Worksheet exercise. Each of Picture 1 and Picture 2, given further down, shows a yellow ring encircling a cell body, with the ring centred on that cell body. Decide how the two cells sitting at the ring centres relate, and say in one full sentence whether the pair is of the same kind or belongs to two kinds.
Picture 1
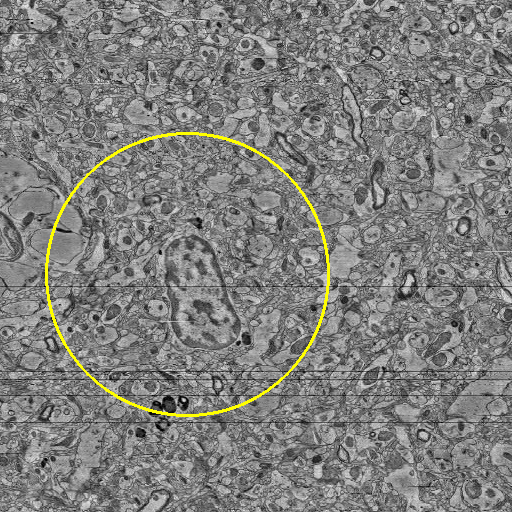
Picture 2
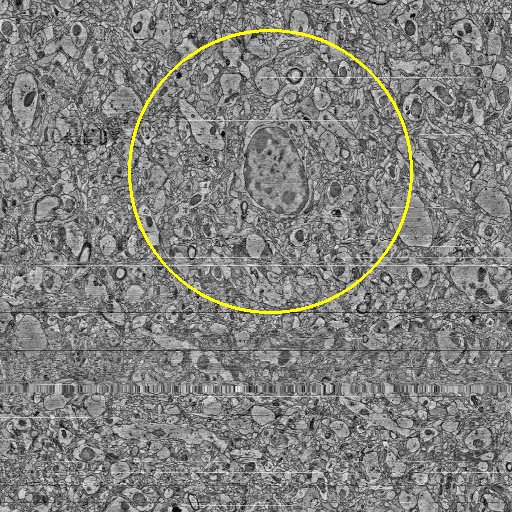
The cells at the ring centres in Picture 1 and Picture 2 are of the same kind.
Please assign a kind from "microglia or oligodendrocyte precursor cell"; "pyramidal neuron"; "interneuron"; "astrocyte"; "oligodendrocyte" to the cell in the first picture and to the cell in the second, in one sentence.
Each of the two pictures has a microglial cell or oligodendrocyte precursor cell at the ring centre.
